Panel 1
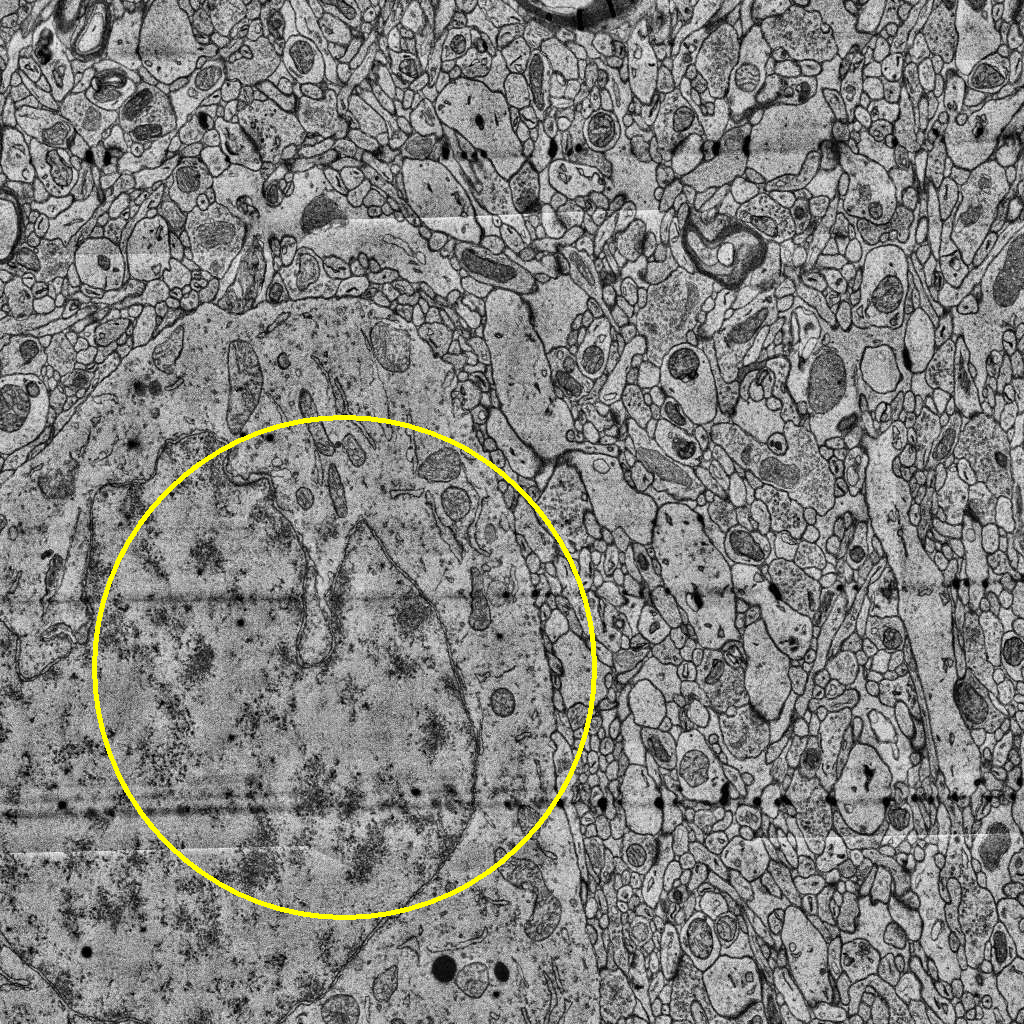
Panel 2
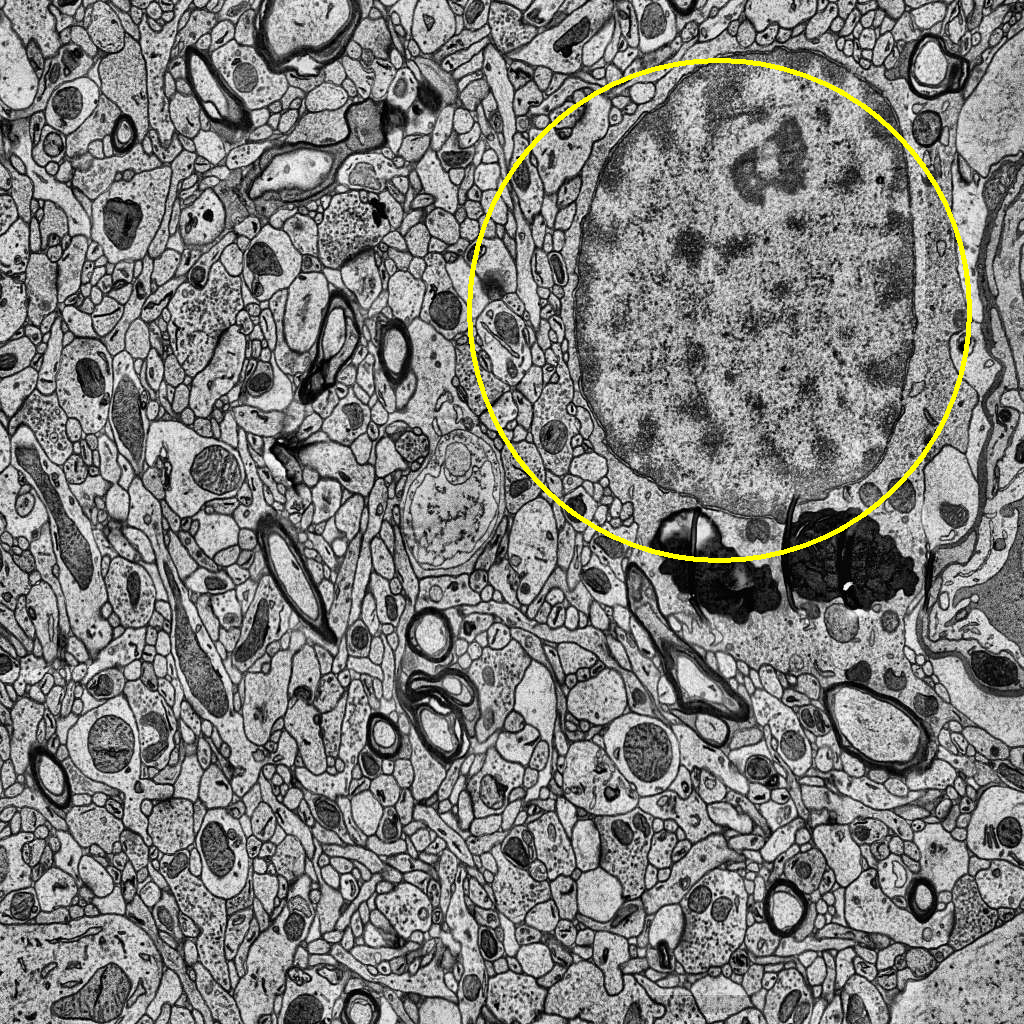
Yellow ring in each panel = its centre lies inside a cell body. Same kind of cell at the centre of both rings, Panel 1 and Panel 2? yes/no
no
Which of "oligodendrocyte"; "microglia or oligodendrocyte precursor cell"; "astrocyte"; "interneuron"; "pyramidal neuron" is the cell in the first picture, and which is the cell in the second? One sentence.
The one in the first picture is an interneuron, while the one in the second is an oligodendrocyte.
